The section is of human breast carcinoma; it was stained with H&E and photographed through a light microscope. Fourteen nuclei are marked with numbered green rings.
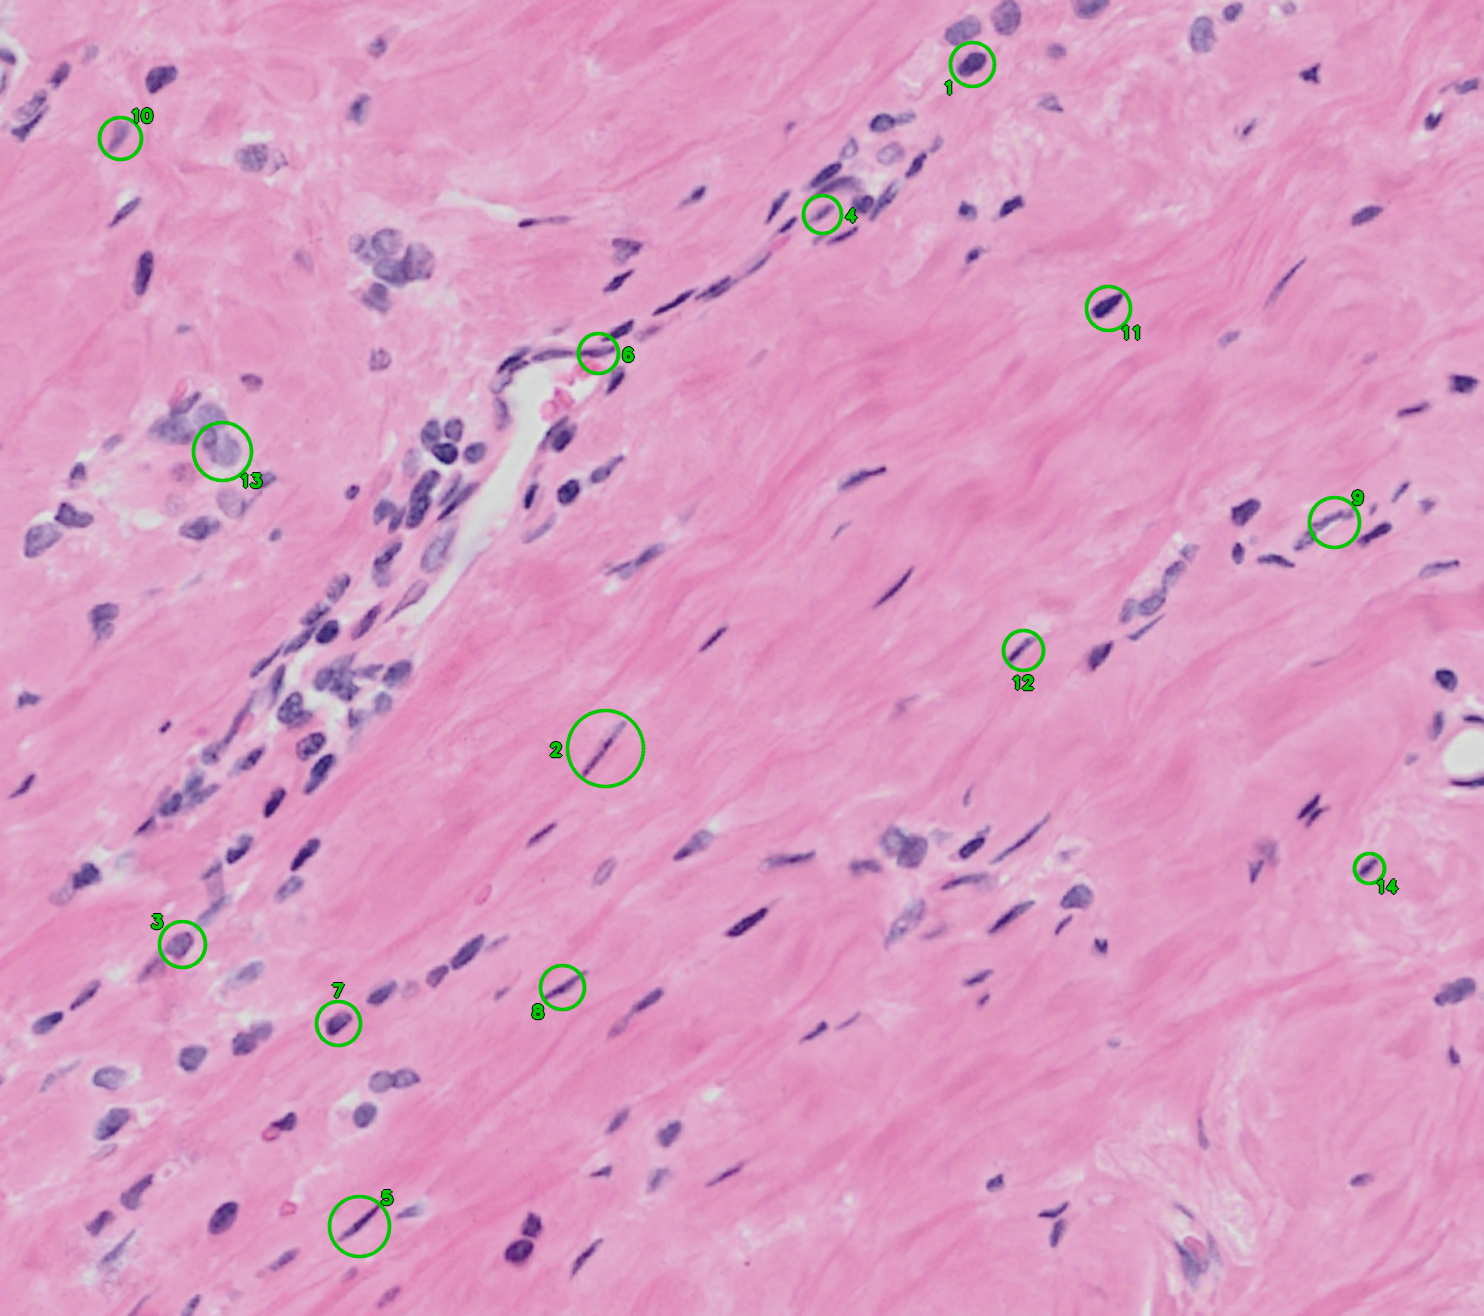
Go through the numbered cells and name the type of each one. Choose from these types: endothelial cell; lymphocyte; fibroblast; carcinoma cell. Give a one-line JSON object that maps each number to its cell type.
{"1": "lymphocyte", "2": "fibroblast", "3": "lymphocyte", "4": "endothelial cell", "5": "fibroblast", "6": "endothelial cell", "7": "lymphocyte", "8": "fibroblast", "9": "endothelial cell", "10": "fibroblast", "11": "lymphocyte", "12": "fibroblast", "13": "carcinoma cell", "14": "fibroblast"}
